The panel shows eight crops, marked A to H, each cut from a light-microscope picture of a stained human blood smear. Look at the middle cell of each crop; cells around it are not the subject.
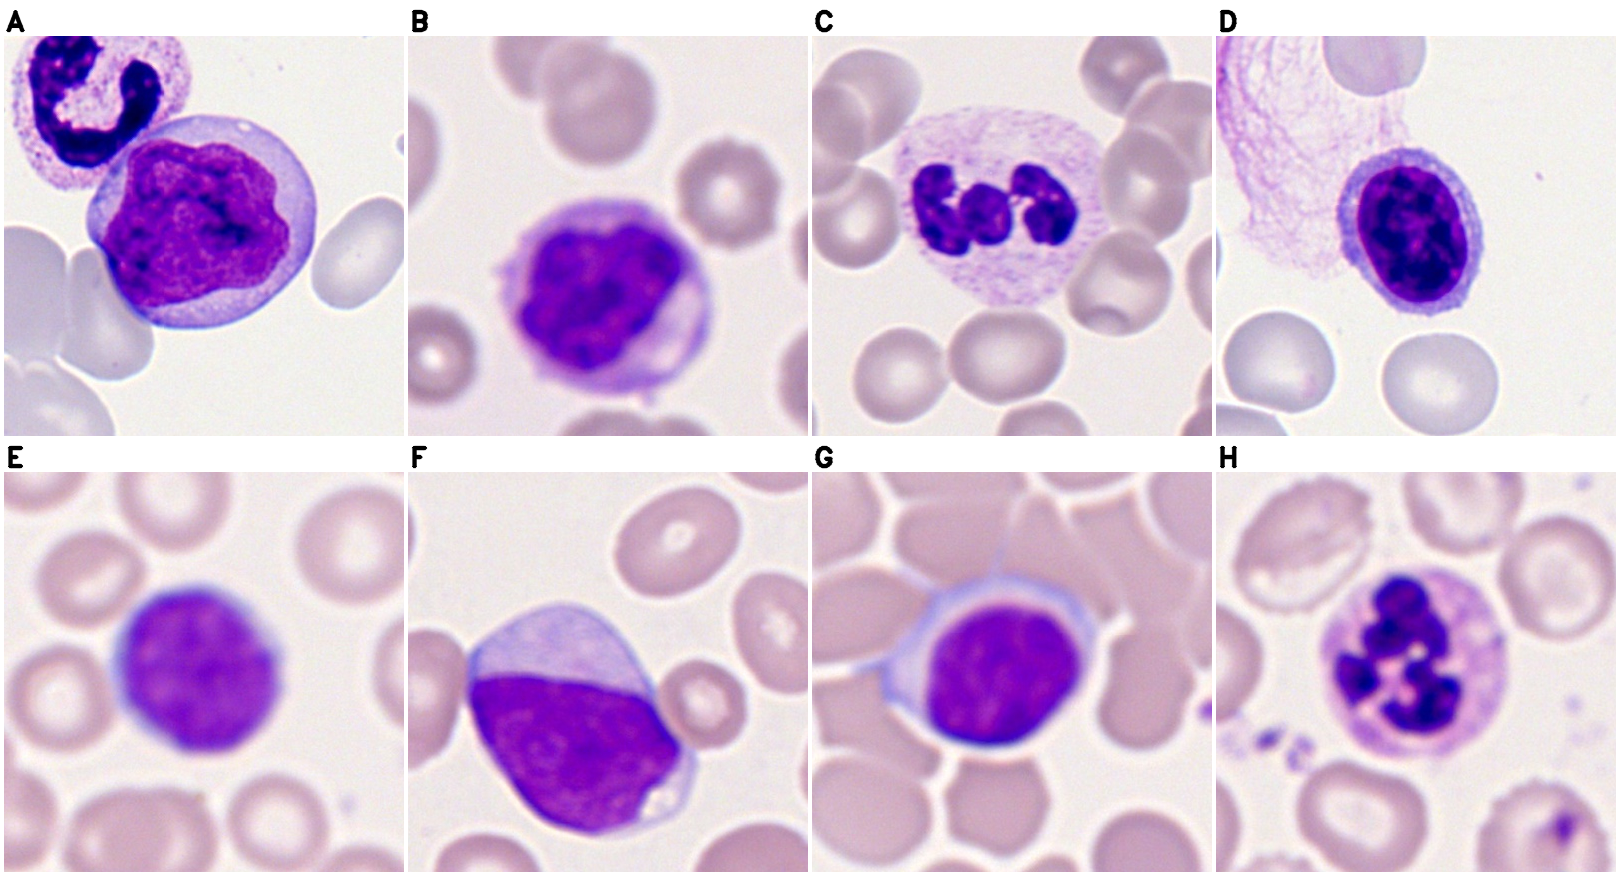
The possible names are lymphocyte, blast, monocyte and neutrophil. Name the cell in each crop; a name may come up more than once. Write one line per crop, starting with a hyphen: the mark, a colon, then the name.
- A: blast
- B: monocyte
- C: neutrophil
- D: lymphocyte
- E: lymphocyte
- F: blast
- G: lymphocyte
- H: neutrophil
